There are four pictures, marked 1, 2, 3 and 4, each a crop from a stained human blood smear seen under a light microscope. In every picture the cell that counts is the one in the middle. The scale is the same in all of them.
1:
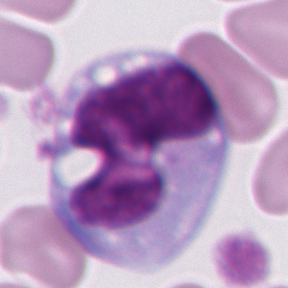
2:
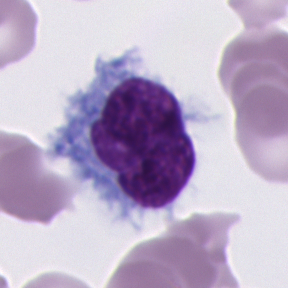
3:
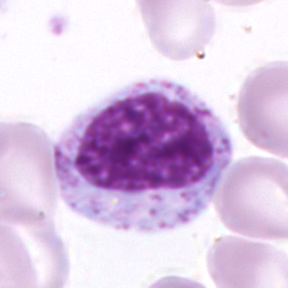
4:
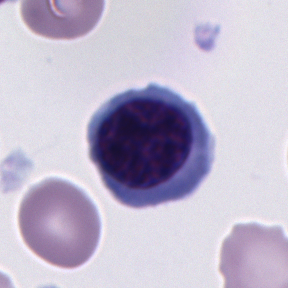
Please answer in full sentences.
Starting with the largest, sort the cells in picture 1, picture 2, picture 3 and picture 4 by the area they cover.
Going down, they run 1, 3, 2, 4.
